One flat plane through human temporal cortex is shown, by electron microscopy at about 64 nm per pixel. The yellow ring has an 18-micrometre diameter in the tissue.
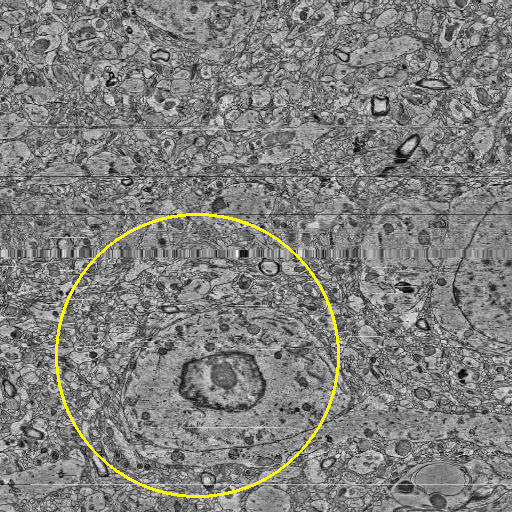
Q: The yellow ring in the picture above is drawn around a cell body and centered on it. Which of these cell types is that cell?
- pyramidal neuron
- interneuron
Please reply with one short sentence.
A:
The cell body at the ring's center belongs to a pyramidal neuron.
